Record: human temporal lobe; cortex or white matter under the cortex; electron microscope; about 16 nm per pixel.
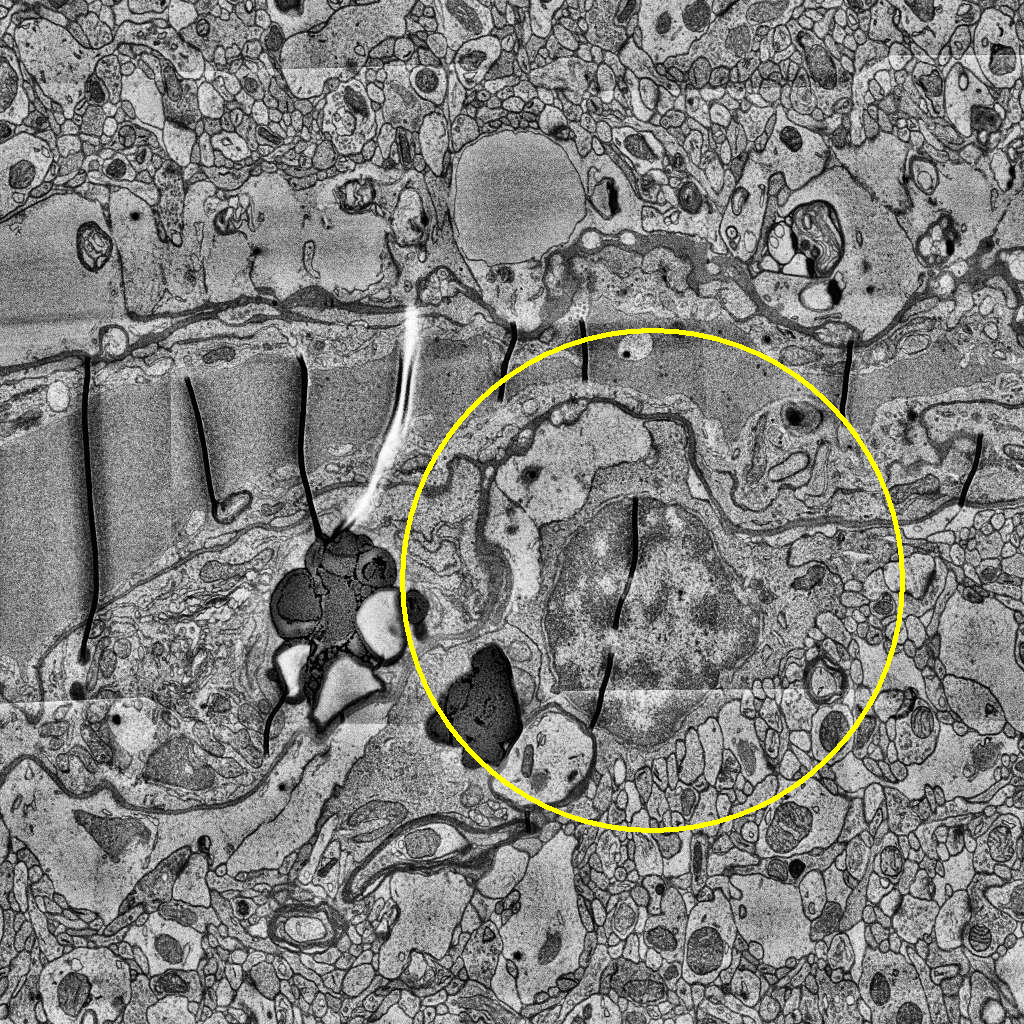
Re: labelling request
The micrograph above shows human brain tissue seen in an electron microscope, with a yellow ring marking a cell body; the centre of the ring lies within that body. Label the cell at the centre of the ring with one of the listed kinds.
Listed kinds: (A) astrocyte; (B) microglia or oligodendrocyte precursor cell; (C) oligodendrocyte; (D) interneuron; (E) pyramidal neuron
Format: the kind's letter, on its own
C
